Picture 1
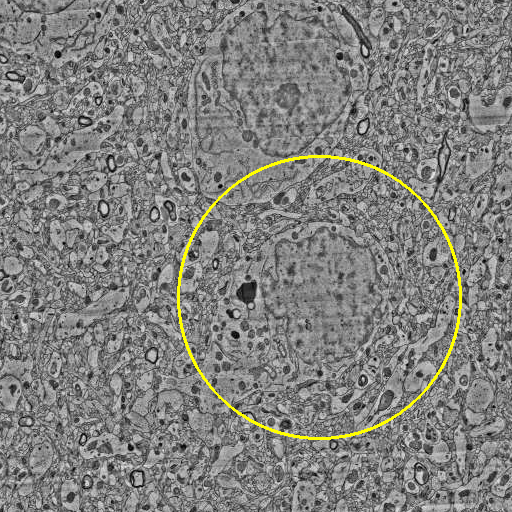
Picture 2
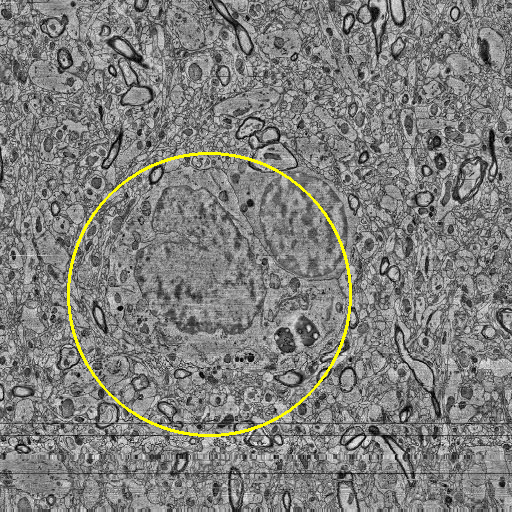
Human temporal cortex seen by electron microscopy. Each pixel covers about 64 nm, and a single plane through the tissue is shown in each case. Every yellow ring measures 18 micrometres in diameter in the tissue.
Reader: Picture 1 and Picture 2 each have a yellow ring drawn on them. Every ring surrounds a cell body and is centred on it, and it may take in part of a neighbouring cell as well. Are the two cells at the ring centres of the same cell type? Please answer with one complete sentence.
Yes, both cells are of the same cell type.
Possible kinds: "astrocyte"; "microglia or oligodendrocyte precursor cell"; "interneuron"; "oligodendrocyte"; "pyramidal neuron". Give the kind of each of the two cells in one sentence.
The cell at the ring centre is an interneuron in both pictures.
